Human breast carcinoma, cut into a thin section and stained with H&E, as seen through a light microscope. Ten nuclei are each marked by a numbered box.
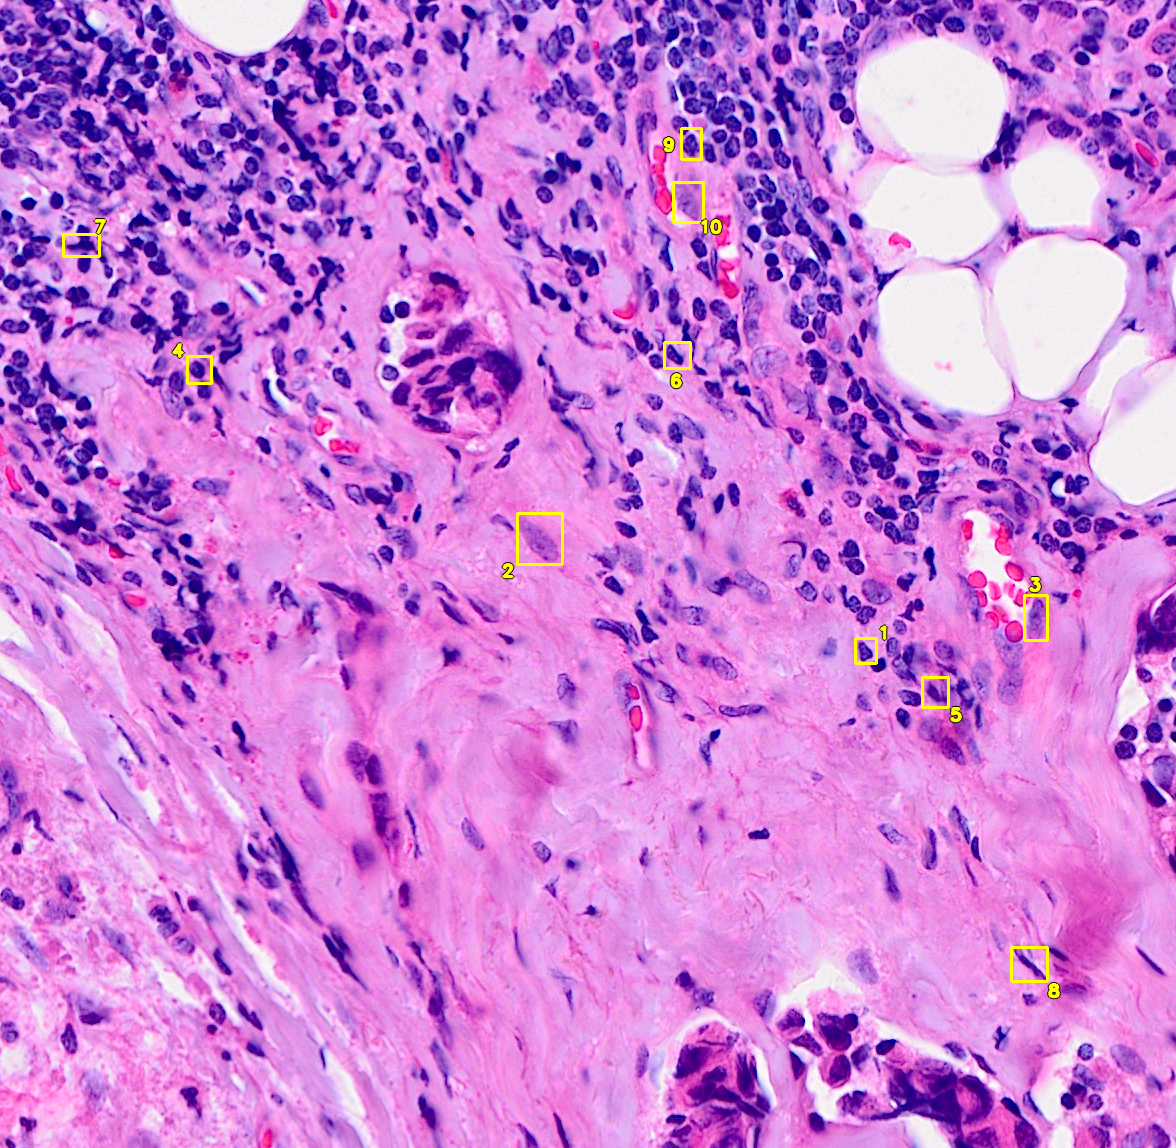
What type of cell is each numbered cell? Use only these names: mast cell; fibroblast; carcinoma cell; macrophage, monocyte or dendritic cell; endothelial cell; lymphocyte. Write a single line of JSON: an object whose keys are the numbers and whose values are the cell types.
{"1": "lymphocyte", "2": "fibroblast", "3": "endothelial cell", "4": "lymphocyte", "5": "lymphocyte", "6": "lymphocyte", "7": "lymphocyte", "8": "fibroblast", "9": "lymphocyte", "10": "endothelial cell"}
